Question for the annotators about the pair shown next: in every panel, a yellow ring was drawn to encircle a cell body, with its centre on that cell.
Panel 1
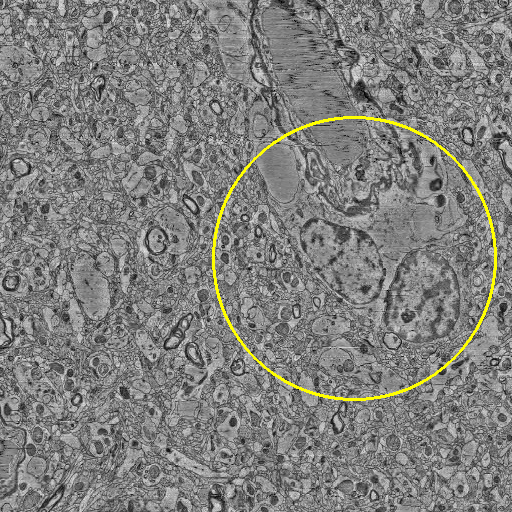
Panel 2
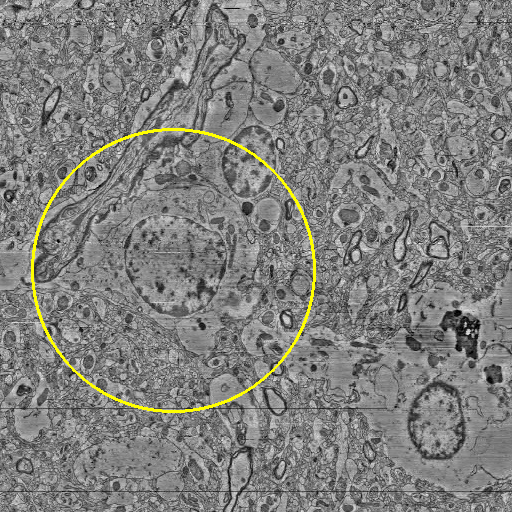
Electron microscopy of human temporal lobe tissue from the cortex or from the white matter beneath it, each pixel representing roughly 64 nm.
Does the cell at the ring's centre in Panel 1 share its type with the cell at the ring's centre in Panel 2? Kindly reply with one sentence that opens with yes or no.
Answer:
Yes, in Panels 1 and 2 the cells at the ring centres belong to a single type.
